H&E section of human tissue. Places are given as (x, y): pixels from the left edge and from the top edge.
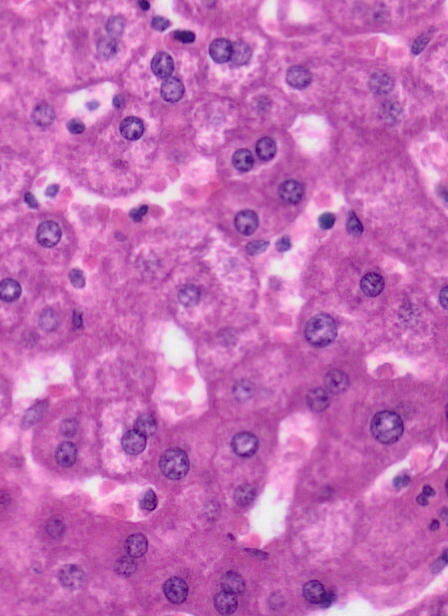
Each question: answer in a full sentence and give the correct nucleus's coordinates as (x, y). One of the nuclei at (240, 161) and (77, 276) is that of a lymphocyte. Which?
Only the nucleus at (77, 276), of the two, belongs to a lymphocyte.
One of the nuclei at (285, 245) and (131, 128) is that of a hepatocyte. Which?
Only the nucleus at (131, 128), of the two, belongs to a hepatocyte.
